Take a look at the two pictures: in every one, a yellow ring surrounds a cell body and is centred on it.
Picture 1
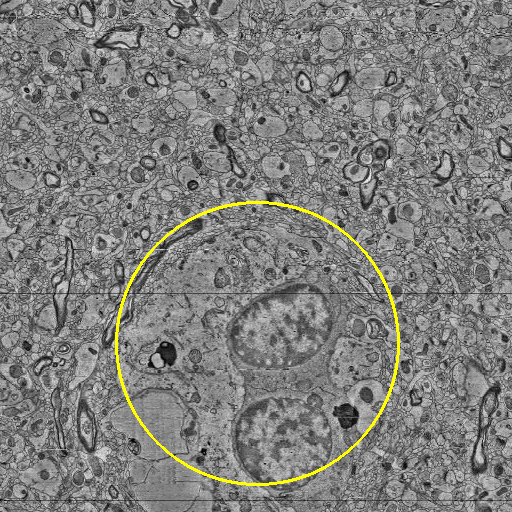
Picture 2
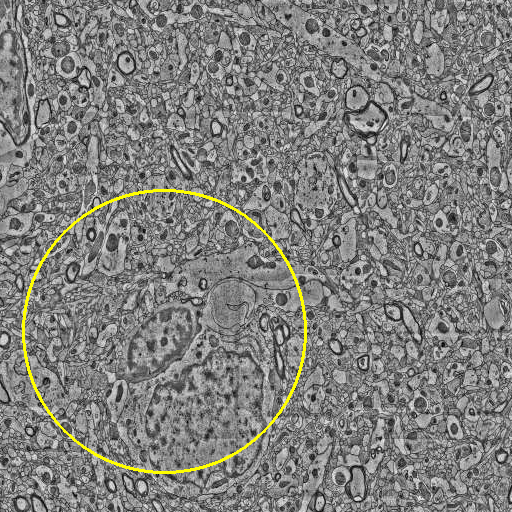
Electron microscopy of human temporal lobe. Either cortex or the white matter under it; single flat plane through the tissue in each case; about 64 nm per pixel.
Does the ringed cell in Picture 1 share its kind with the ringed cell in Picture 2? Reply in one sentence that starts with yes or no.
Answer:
Yes, the two centred cells, one per picture, are of one kind.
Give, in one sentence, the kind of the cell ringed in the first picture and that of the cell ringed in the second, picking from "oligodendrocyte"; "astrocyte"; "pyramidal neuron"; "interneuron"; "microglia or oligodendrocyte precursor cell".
The second cell is an oligodendrocyte, just as the first is.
